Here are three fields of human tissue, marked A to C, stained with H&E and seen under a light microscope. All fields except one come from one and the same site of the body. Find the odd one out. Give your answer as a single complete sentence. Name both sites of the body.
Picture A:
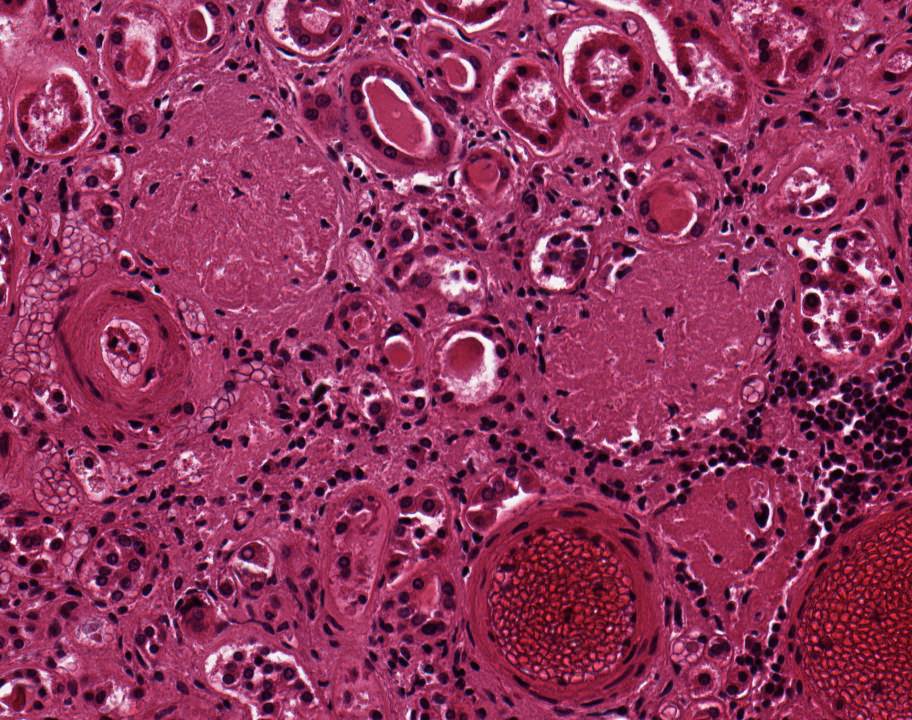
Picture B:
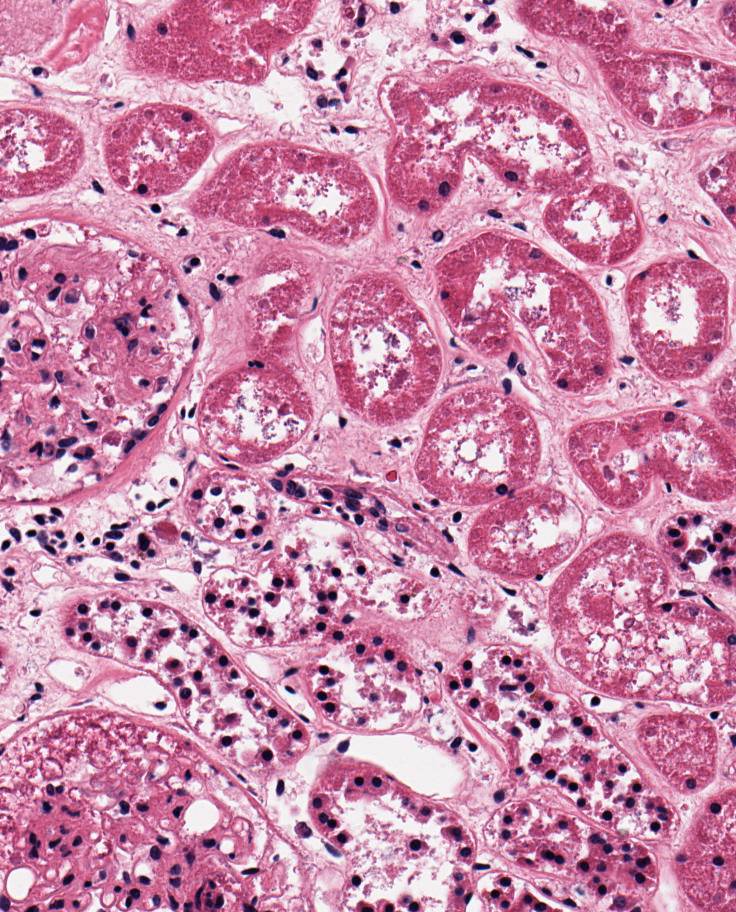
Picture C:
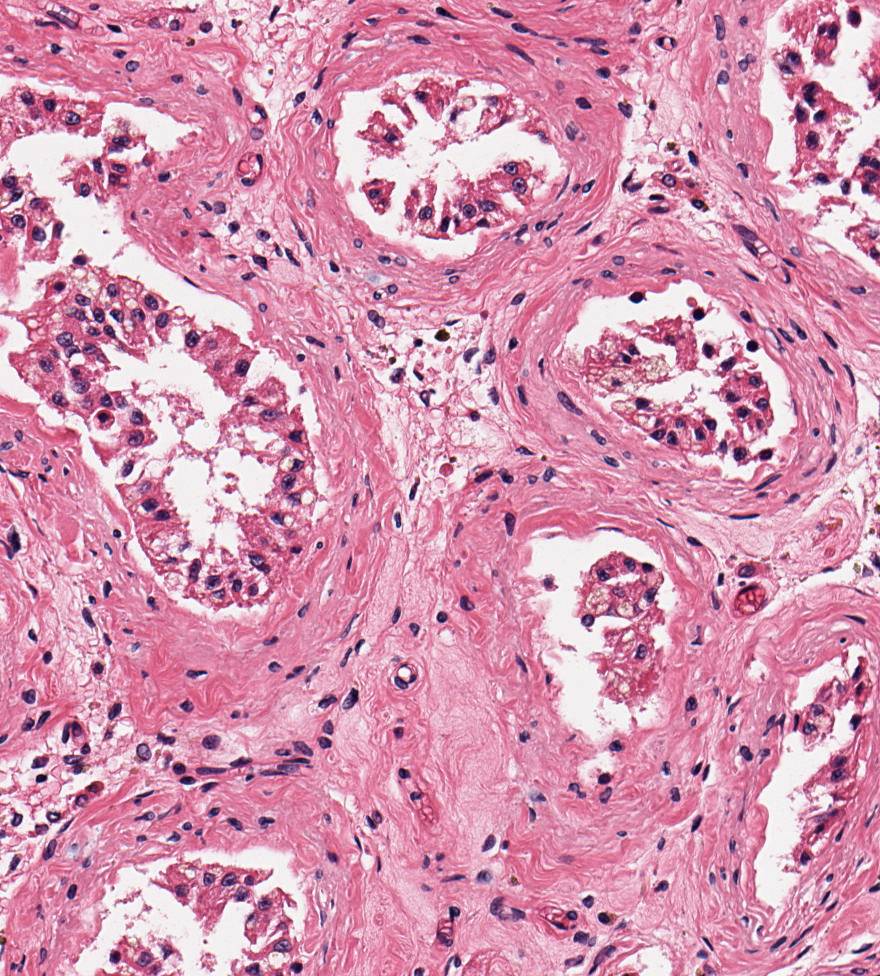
Unlike the rest, which come from the renal cortex, picture C comes from the testis.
